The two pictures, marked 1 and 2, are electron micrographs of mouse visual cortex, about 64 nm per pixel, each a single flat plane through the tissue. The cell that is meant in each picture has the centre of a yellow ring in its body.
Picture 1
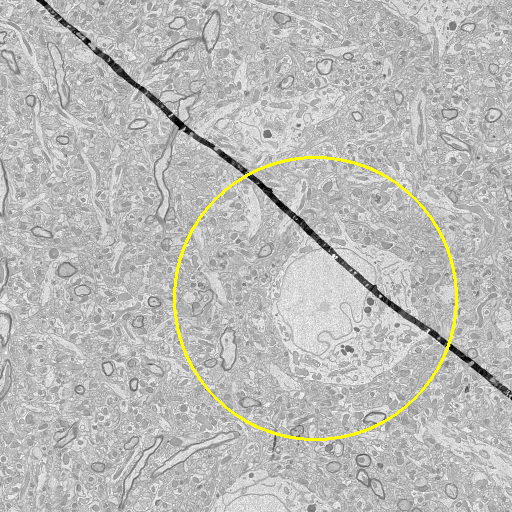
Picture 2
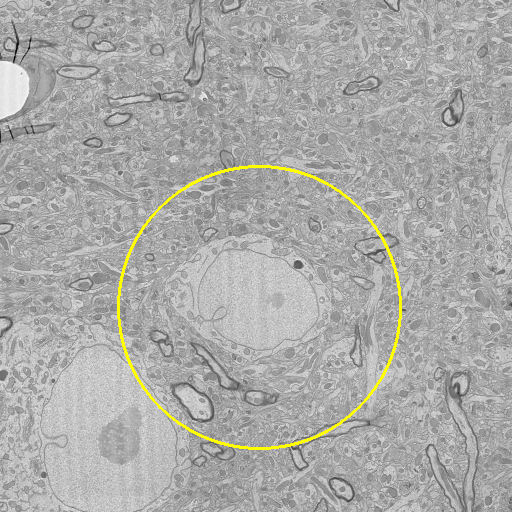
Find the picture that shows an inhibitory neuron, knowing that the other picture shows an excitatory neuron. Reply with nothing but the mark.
1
